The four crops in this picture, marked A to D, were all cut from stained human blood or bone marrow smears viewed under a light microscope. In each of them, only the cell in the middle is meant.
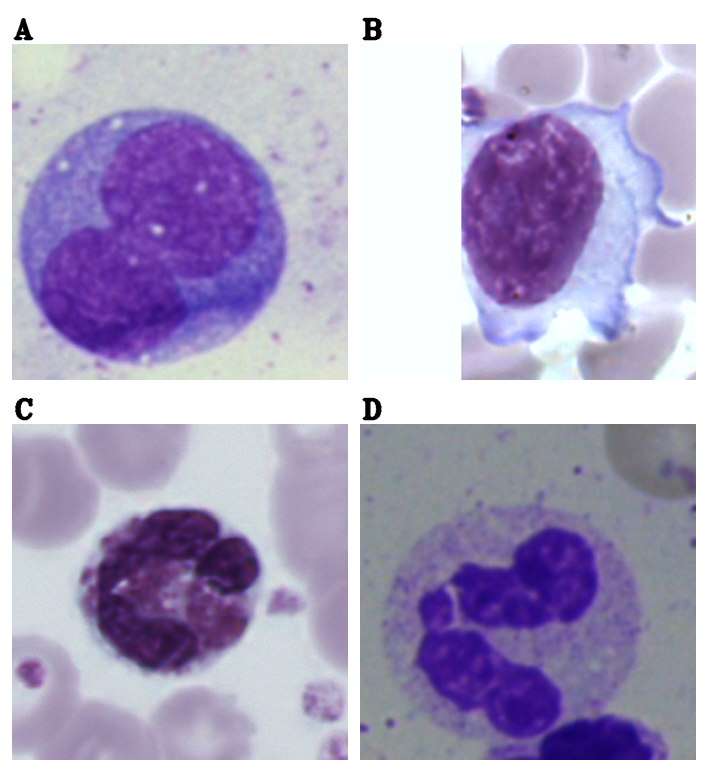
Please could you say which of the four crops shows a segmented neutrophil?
D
